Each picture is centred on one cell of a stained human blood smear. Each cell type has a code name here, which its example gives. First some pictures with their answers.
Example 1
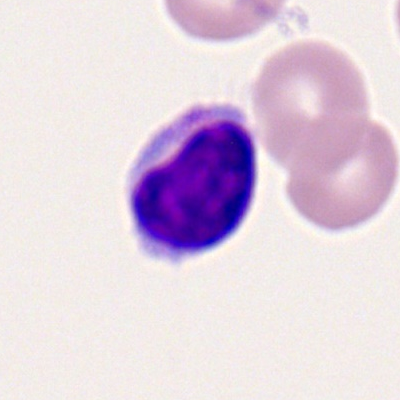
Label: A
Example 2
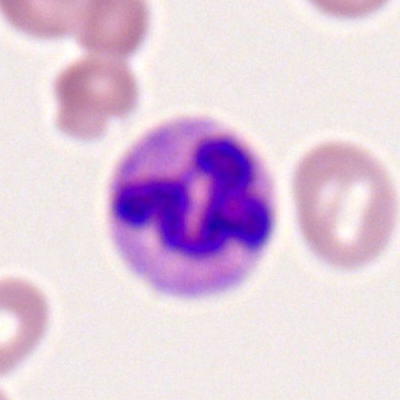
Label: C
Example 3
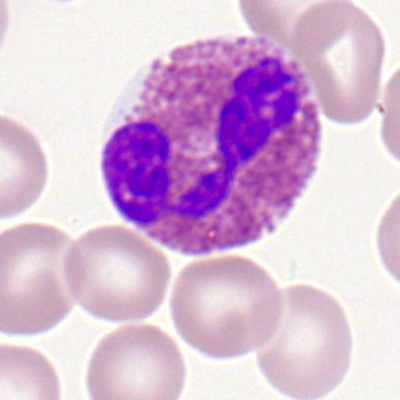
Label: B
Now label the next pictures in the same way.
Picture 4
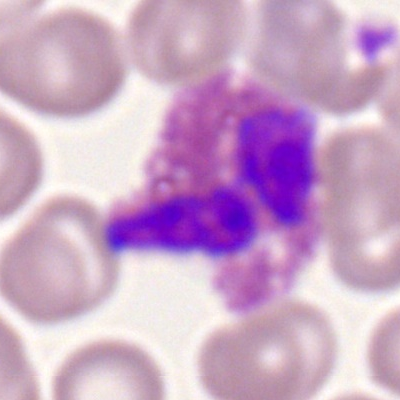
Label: B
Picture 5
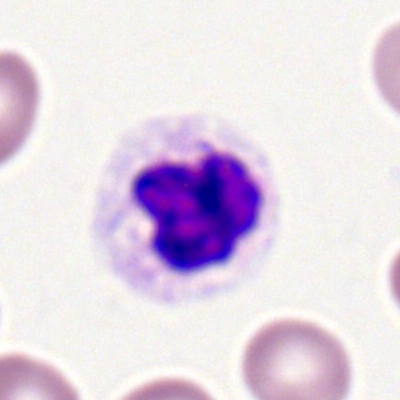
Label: C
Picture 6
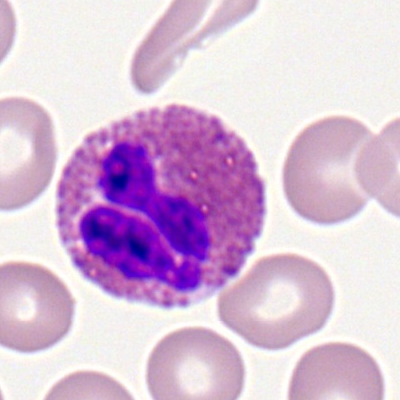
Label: B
